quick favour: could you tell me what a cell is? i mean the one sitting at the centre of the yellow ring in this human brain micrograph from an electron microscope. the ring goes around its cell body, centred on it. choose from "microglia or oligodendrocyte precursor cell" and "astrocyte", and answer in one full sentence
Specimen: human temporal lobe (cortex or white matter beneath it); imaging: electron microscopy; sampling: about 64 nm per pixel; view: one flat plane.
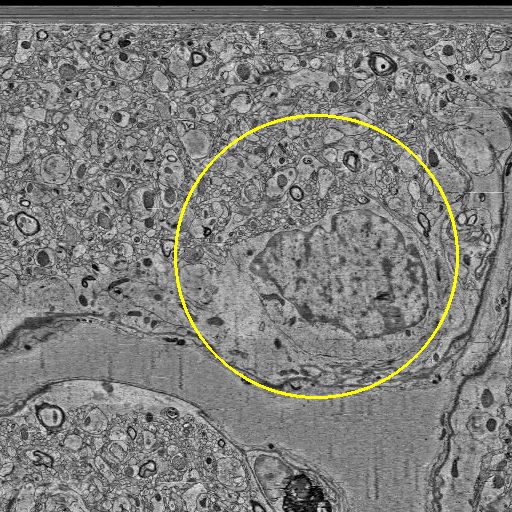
That's a microglial cell or oligodendrocyte precursor cell, the cell sitting at the centre of the yellow ring.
